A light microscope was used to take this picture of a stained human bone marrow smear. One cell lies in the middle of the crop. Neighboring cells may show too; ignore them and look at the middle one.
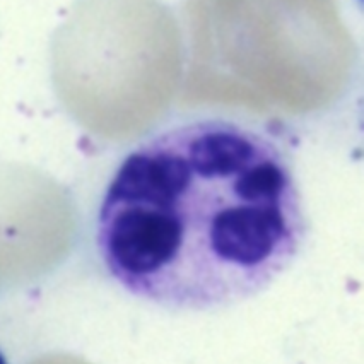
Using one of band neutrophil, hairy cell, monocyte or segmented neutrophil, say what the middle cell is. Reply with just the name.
segmented neutrophil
